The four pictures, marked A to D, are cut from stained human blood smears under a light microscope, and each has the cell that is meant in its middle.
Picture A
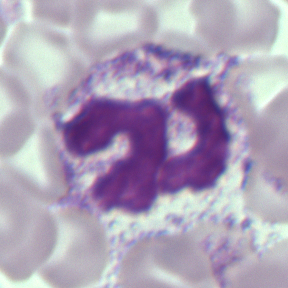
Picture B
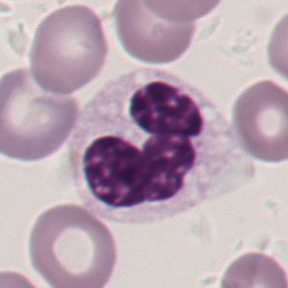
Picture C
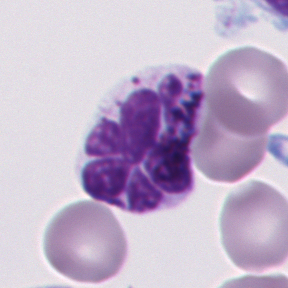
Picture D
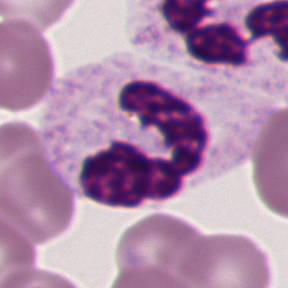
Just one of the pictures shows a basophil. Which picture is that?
C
